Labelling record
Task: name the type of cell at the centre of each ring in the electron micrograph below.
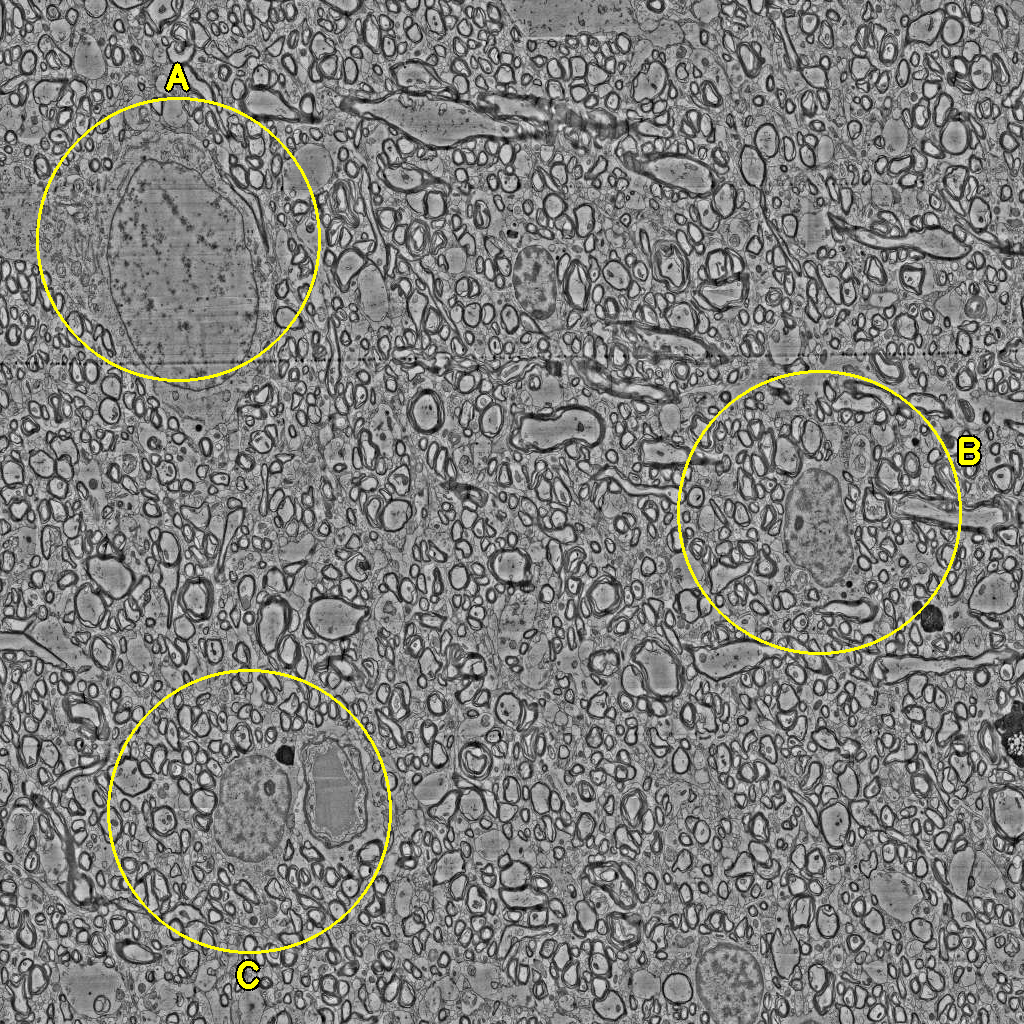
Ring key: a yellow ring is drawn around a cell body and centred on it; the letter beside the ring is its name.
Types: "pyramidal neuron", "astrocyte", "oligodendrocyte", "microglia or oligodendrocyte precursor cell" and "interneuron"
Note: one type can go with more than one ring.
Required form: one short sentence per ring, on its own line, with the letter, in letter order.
In ring A, the centred cell is a pyramidal neuron.
In ring B, the centred cell is an oligodendrocyte.
In ring C, the centred cell is an oligodendrocyte.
